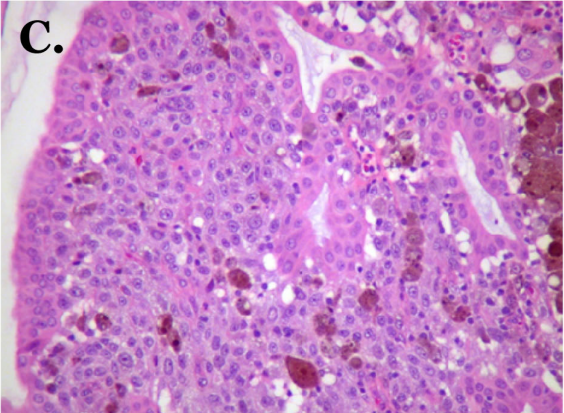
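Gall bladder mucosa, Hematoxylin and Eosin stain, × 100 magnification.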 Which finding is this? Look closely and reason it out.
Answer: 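Sheets of large, closely packed cells with pink cytoplasm replace the tissue. Many cells hold coarse brown pigment in their cytoplasm. Nuclei are round to oval and fairly uniform. The answer: metastatic malignant melanoma.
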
